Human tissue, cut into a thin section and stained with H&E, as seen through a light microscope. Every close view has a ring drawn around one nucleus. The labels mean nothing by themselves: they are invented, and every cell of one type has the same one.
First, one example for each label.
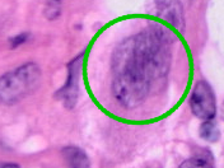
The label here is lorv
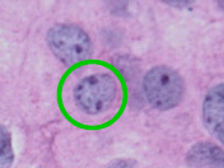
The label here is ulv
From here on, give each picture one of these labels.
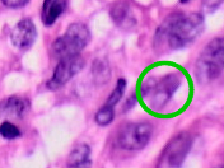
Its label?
lorv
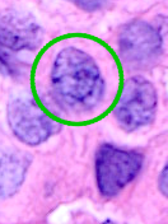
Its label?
ulv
